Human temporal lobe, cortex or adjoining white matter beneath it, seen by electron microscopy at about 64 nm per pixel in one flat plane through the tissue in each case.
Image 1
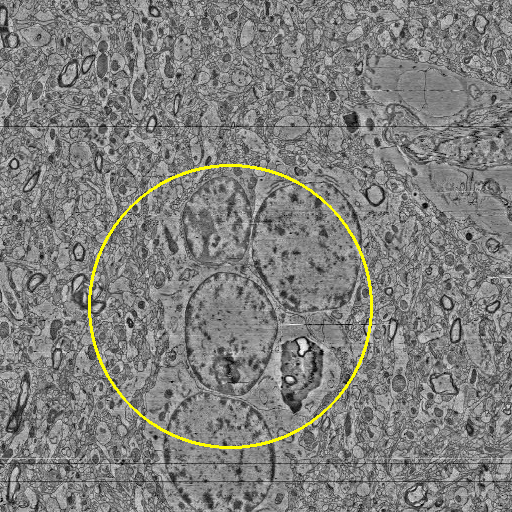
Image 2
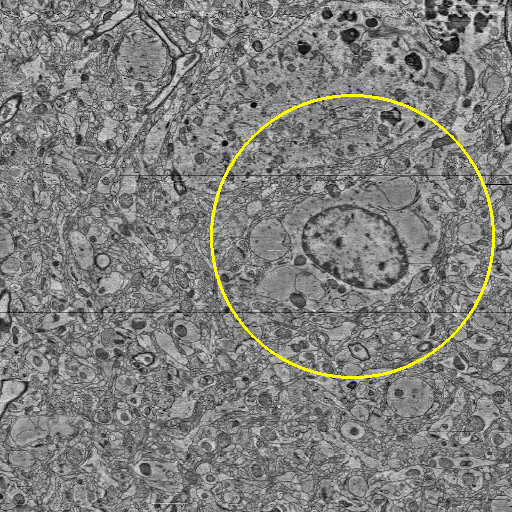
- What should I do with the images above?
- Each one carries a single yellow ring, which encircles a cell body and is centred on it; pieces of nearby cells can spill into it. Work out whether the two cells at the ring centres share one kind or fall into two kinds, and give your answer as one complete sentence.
The ring-centre cells of Image 1 and Image 2 share one kind.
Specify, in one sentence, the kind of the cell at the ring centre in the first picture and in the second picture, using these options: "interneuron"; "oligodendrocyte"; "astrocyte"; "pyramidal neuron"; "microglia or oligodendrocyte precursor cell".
Each cell, in the first picture and the second, is an astrocyte.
